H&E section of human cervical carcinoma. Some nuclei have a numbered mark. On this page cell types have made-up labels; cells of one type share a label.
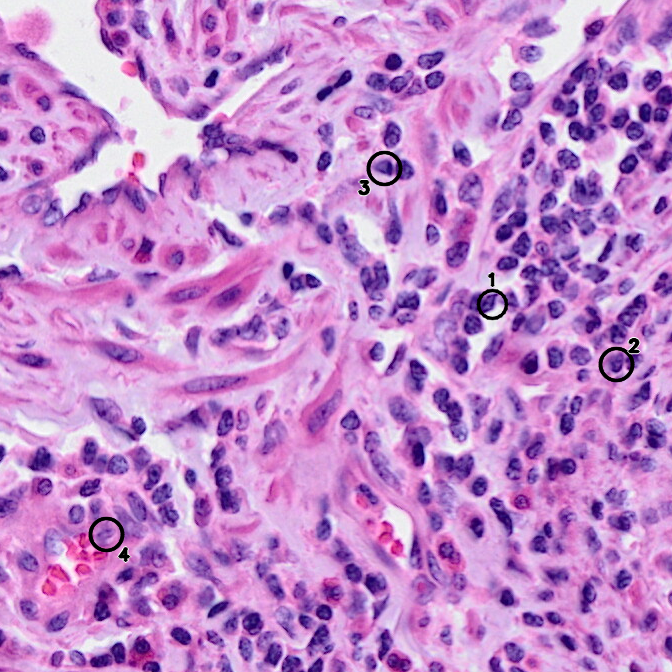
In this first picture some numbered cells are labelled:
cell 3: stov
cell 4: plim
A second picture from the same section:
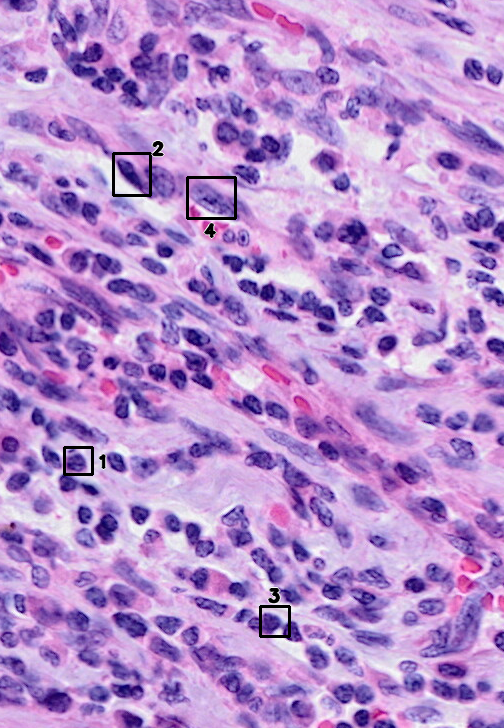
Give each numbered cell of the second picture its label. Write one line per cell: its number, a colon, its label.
1: stov
2: stov
3: stov
4: plim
